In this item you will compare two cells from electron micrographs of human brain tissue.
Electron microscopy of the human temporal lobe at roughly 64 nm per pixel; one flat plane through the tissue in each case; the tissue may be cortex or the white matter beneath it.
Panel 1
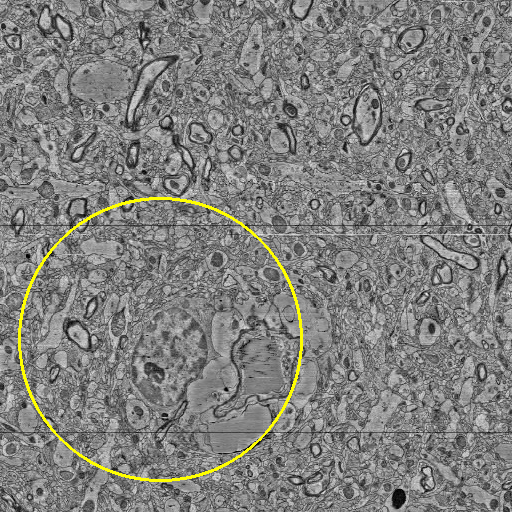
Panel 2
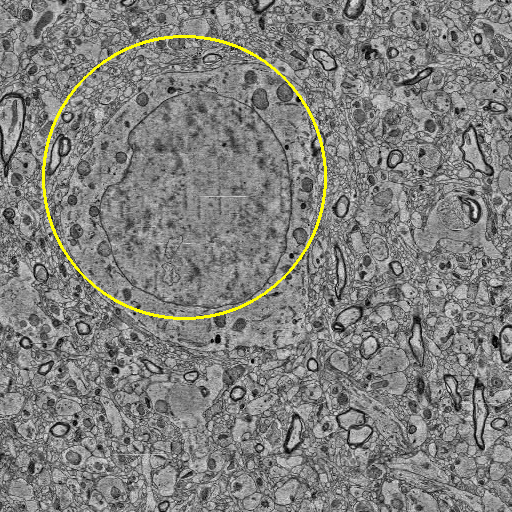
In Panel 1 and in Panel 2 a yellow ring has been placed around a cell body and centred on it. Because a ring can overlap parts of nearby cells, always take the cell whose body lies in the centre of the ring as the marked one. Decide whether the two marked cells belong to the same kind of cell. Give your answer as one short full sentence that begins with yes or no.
No, the two marked cells belong to two kinds of cell.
